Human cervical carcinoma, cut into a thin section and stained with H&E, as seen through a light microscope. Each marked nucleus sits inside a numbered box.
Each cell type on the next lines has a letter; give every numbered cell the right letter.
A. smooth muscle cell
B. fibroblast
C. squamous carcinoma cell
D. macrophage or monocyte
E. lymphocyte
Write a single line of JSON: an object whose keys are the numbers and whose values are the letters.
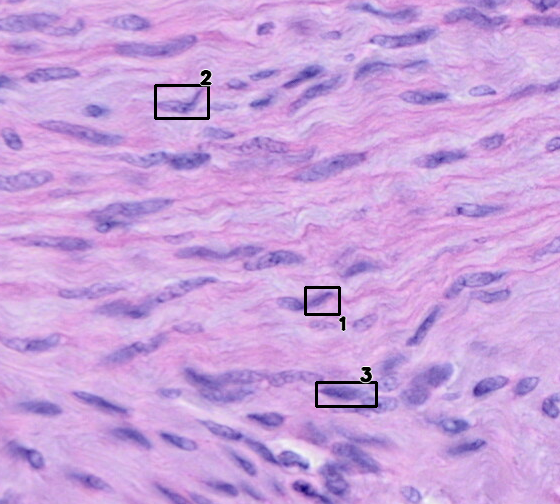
{"1": "A", "2": "A", "3": "B"}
